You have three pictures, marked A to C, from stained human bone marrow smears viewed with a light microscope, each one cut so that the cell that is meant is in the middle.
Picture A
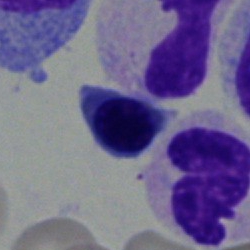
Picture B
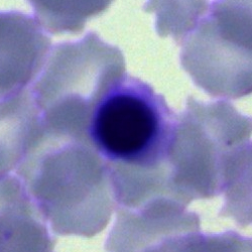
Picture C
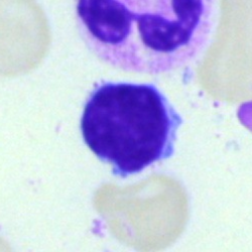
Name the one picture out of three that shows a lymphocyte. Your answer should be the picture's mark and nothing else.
C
